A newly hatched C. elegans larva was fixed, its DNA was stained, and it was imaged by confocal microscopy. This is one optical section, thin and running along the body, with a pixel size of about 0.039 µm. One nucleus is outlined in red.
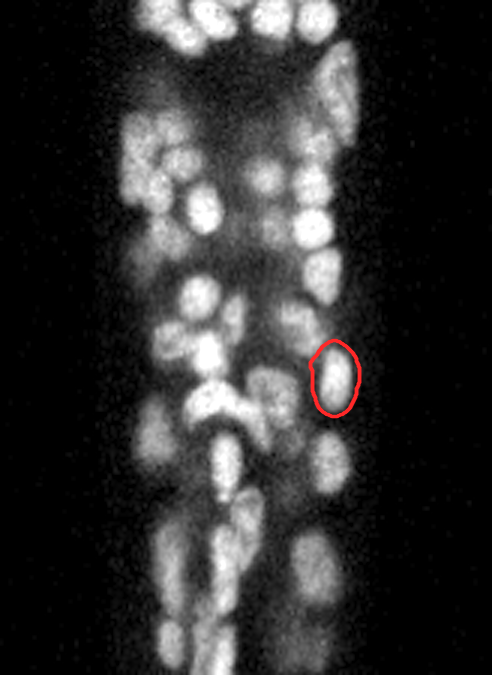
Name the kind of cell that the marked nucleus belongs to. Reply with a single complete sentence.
The cell with the marked nucleus is a glial cell (sheath or socket).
